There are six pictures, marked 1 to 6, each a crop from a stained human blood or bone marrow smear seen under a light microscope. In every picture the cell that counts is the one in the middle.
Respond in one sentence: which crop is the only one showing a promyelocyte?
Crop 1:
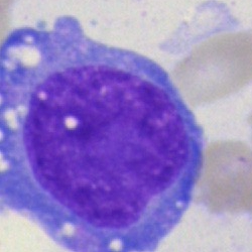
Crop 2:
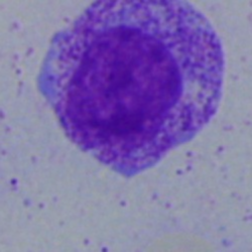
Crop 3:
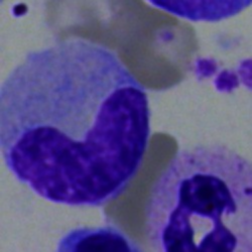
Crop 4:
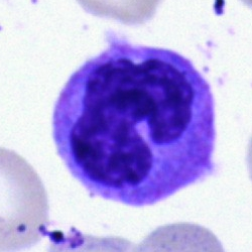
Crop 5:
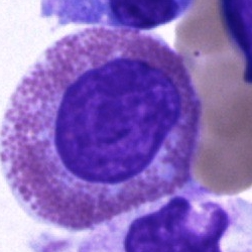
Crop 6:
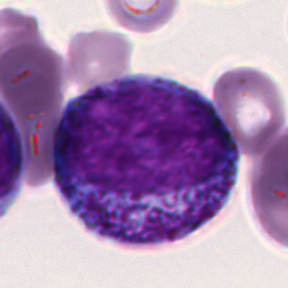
The crop in which a promyelocyte is shown is crop 6.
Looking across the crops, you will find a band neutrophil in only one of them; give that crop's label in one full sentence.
The requested cell, a band neutrophil, is the one in crop 3.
